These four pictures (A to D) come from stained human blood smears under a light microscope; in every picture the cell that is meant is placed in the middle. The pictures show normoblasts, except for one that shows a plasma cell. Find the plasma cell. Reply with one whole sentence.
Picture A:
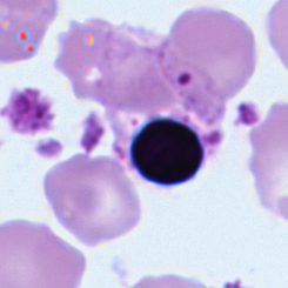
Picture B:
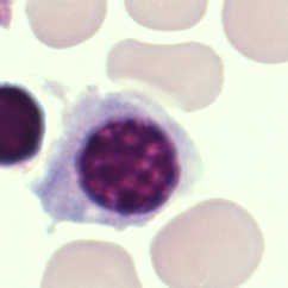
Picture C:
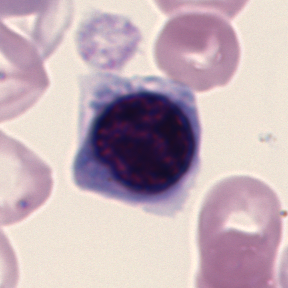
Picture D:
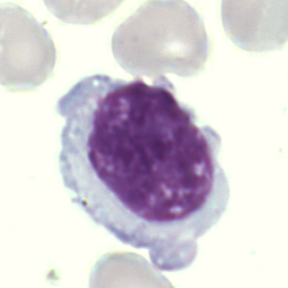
Picture D is the one that shows the plasma cell.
